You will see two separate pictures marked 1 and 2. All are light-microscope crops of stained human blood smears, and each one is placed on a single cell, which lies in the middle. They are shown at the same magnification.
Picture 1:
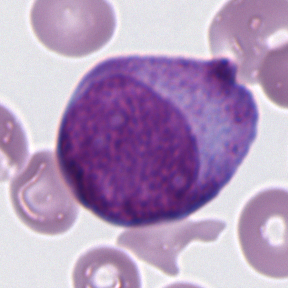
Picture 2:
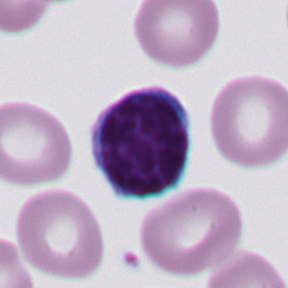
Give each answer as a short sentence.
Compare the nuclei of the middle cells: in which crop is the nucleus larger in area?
The nucleus in picture 1 is larger, with about 2.5 times the area of the one in picture 2.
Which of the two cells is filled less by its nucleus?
It is the cell in picture 1 that is filled less by its nucleus.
